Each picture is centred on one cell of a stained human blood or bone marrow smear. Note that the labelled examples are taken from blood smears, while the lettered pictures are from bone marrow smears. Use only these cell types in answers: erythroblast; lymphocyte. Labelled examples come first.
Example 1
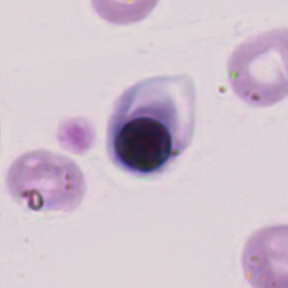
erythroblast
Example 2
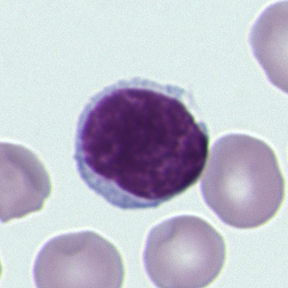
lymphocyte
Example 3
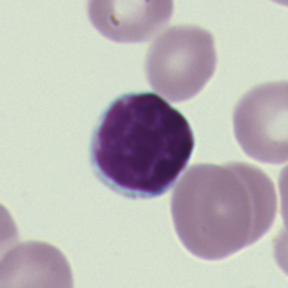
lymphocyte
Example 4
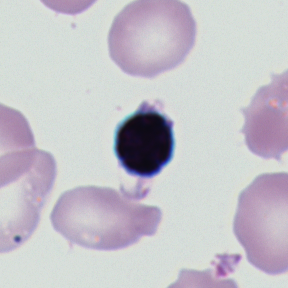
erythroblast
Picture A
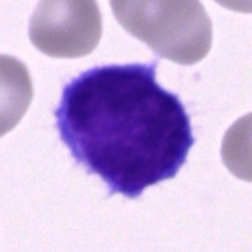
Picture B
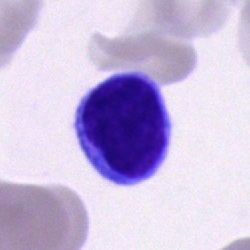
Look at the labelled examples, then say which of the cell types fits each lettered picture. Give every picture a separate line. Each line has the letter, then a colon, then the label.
A: lymphocyte
B: lymphocyte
